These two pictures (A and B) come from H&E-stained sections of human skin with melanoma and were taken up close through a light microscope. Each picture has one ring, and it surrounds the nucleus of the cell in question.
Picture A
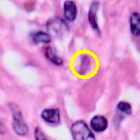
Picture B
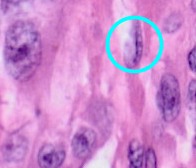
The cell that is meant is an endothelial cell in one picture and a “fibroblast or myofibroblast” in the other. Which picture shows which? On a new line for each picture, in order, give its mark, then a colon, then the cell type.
A: fibroblast or myofibroblast
B: endothelial cell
